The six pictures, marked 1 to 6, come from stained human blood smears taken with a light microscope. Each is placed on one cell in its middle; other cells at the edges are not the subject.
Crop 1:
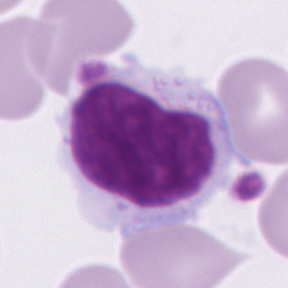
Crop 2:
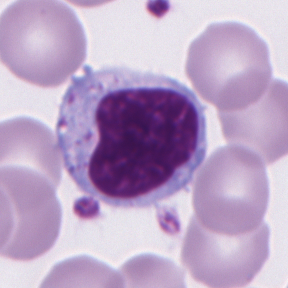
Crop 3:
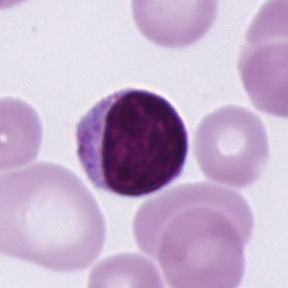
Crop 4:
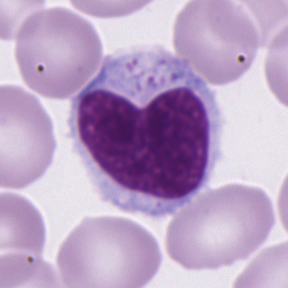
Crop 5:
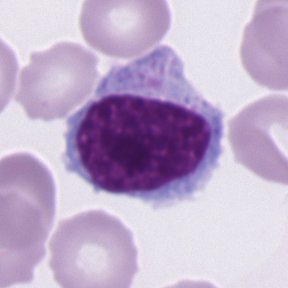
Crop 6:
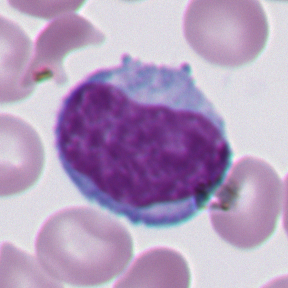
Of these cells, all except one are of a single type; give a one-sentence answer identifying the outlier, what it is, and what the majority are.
The different crop is crop 6, a monocyte; all the others show large granular lymphocytes.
